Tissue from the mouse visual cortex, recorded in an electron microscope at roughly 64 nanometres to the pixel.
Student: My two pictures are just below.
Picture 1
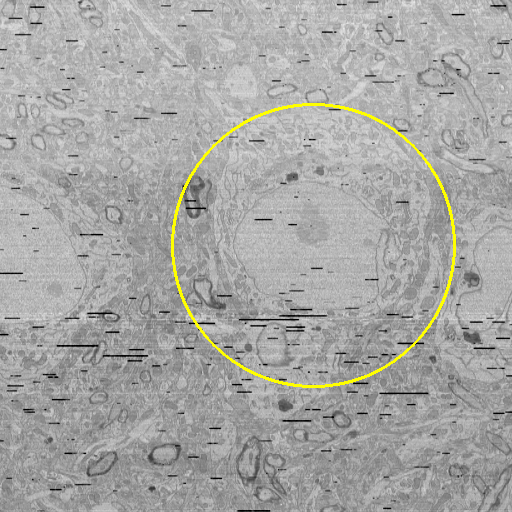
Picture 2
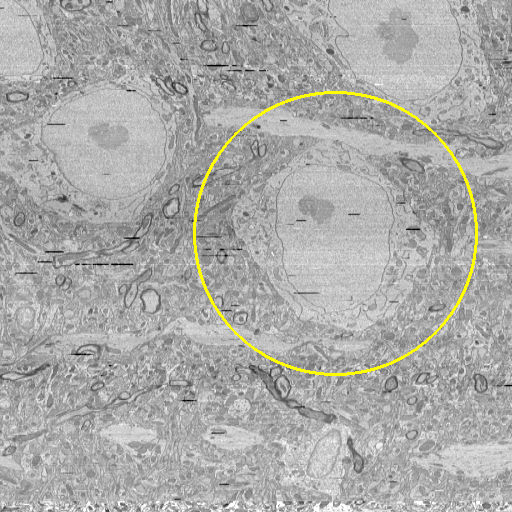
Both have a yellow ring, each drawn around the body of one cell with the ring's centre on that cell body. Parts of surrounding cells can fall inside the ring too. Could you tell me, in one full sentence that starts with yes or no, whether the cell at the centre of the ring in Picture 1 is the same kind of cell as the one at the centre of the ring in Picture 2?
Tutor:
No, the two cells are of two kinds.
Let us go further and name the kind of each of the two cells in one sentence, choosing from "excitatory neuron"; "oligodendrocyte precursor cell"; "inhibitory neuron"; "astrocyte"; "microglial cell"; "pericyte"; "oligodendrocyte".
The ring of the first picture is on an inhibitory neuron, the ring of the second on an excitatory neuron.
